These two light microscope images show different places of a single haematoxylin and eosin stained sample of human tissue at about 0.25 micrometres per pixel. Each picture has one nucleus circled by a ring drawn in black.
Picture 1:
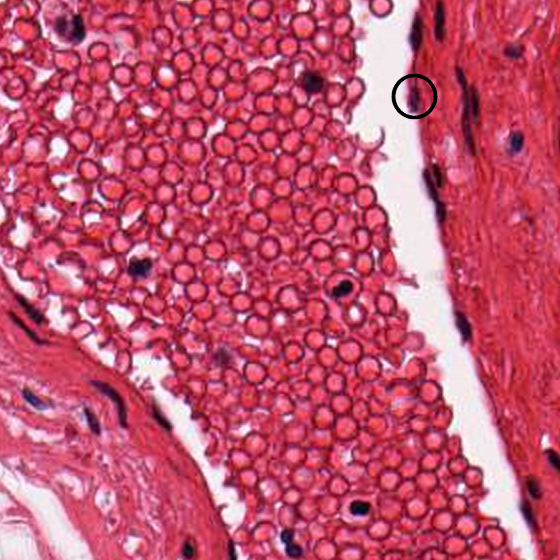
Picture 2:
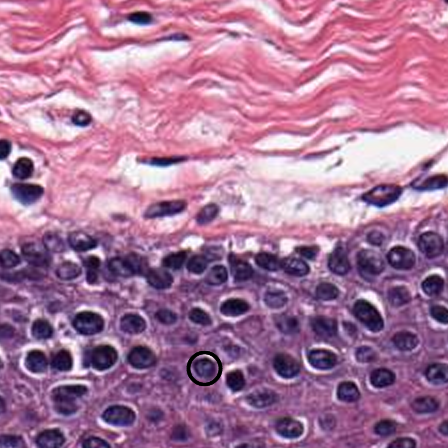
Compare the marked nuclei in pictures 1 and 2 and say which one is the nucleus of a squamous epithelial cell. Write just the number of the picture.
2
